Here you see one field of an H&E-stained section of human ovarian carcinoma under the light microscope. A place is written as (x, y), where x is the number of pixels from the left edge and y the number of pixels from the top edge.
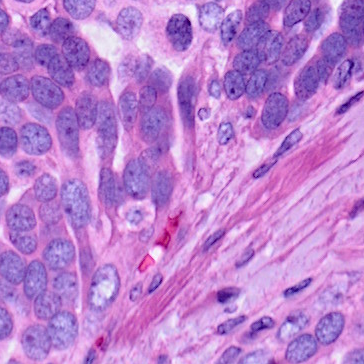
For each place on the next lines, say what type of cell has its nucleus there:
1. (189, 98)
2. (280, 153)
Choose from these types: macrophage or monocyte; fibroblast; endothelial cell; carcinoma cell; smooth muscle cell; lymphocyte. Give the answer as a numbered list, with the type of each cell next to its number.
1. carcinoma cell
2. fibroblast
